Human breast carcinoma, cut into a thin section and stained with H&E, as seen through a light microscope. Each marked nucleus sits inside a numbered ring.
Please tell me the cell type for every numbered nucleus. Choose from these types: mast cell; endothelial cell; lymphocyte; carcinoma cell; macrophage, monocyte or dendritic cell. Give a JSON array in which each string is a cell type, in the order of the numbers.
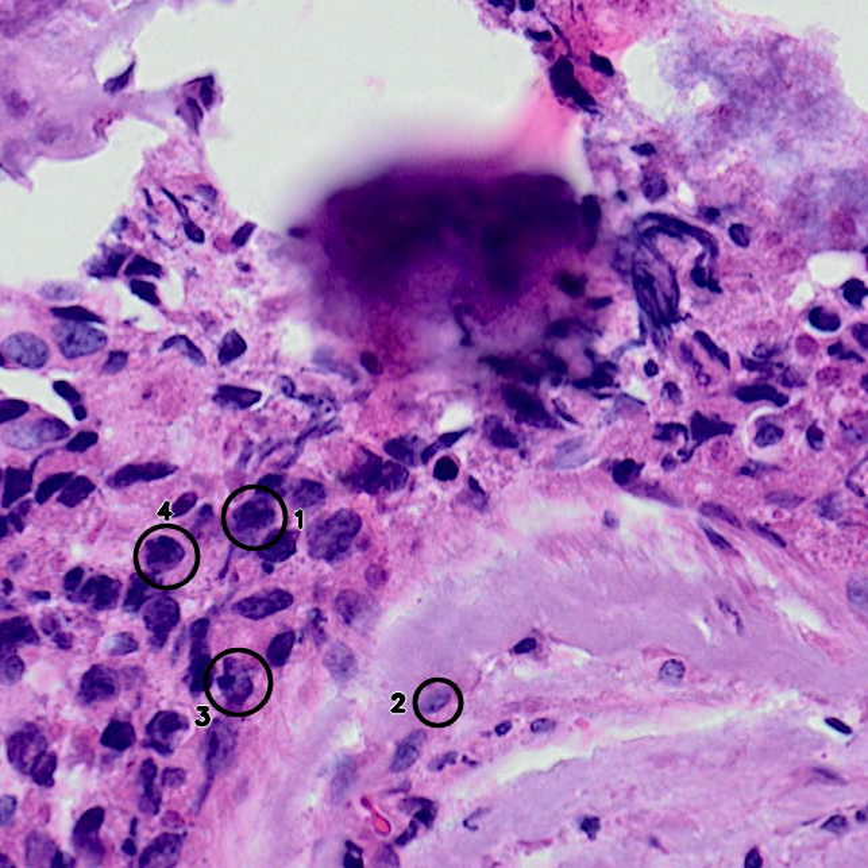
["carcinoma cell", "endothelial cell", "carcinoma cell", "carcinoma cell"]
